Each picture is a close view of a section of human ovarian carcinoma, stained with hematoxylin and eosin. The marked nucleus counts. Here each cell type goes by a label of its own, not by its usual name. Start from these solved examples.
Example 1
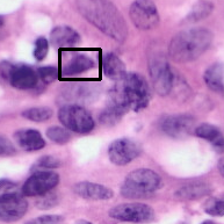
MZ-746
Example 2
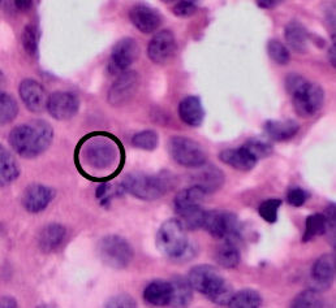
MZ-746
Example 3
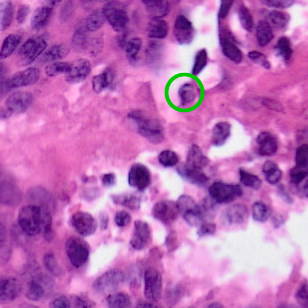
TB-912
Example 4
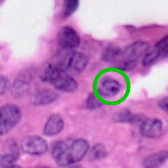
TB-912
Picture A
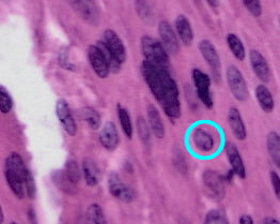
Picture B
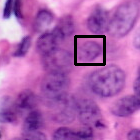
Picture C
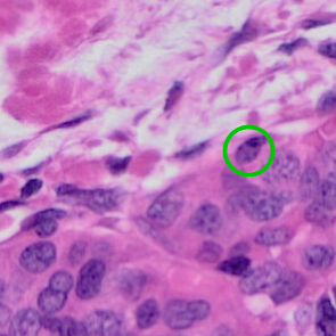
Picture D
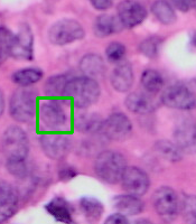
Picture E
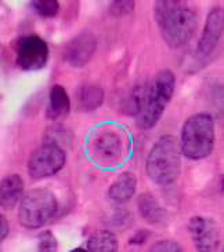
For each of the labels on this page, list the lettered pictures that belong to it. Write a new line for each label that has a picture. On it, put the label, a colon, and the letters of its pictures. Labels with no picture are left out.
MZ-746: B, D
TB-912: A, C, E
